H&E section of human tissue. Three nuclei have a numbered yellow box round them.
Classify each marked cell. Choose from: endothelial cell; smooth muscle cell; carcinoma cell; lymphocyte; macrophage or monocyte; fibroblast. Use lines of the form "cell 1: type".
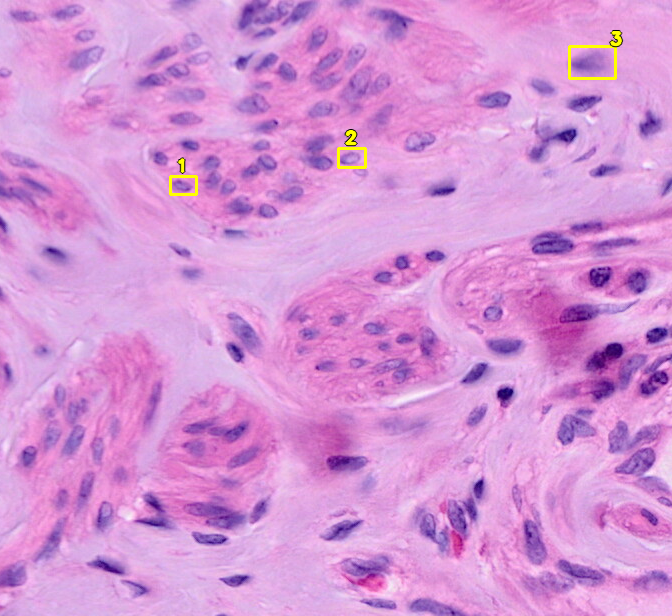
cell 1: smooth muscle cell
cell 2: smooth muscle cell
cell 3: fibroblast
